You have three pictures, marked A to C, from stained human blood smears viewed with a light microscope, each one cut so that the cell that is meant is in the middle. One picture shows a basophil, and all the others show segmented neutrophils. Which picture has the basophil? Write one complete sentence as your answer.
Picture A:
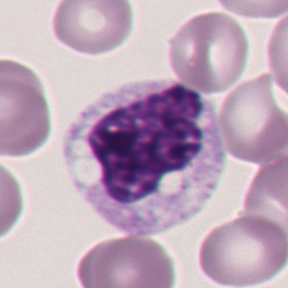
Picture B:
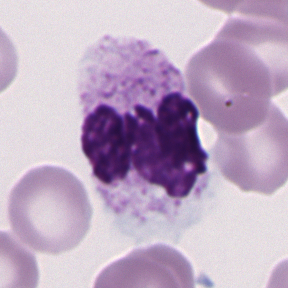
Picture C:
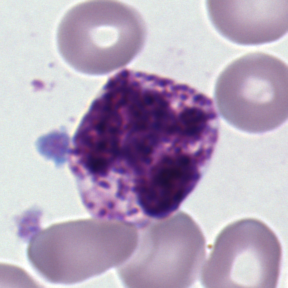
It is picture C that shows the basophil.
